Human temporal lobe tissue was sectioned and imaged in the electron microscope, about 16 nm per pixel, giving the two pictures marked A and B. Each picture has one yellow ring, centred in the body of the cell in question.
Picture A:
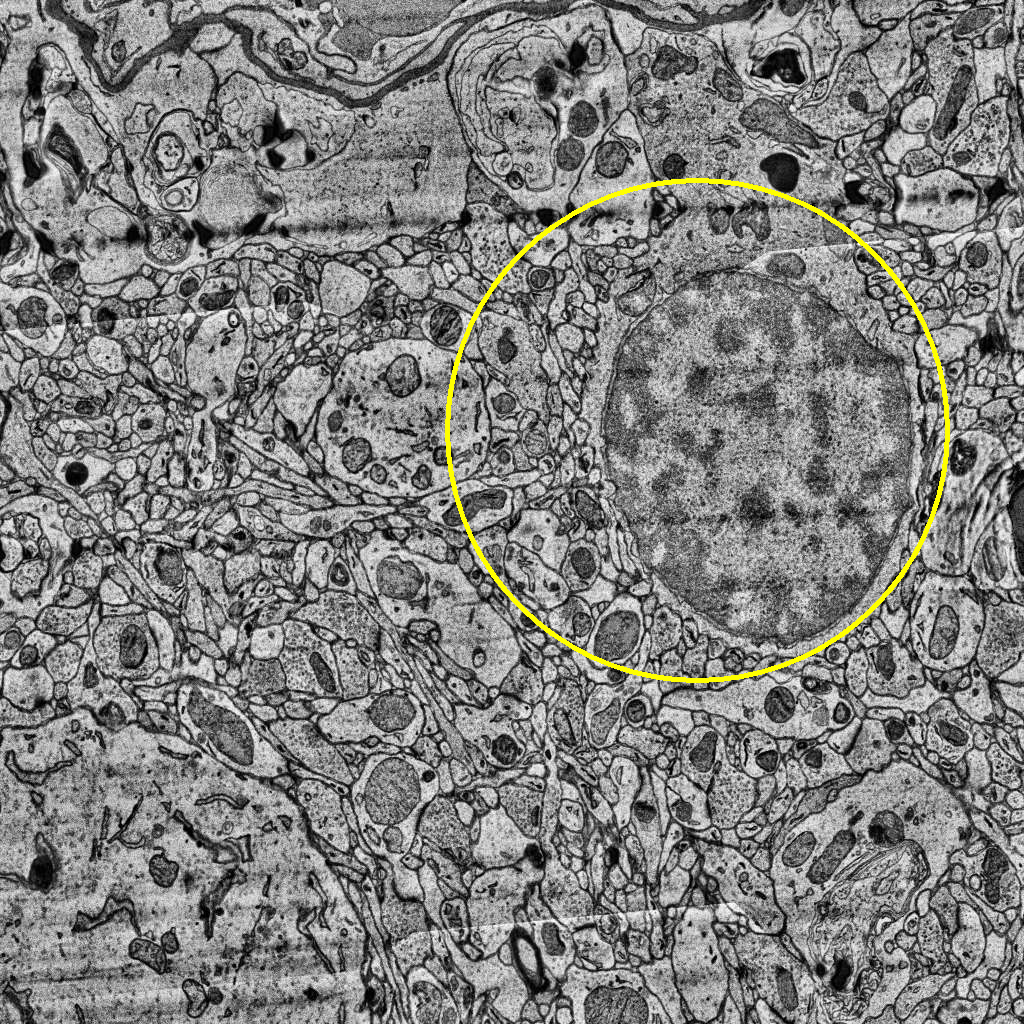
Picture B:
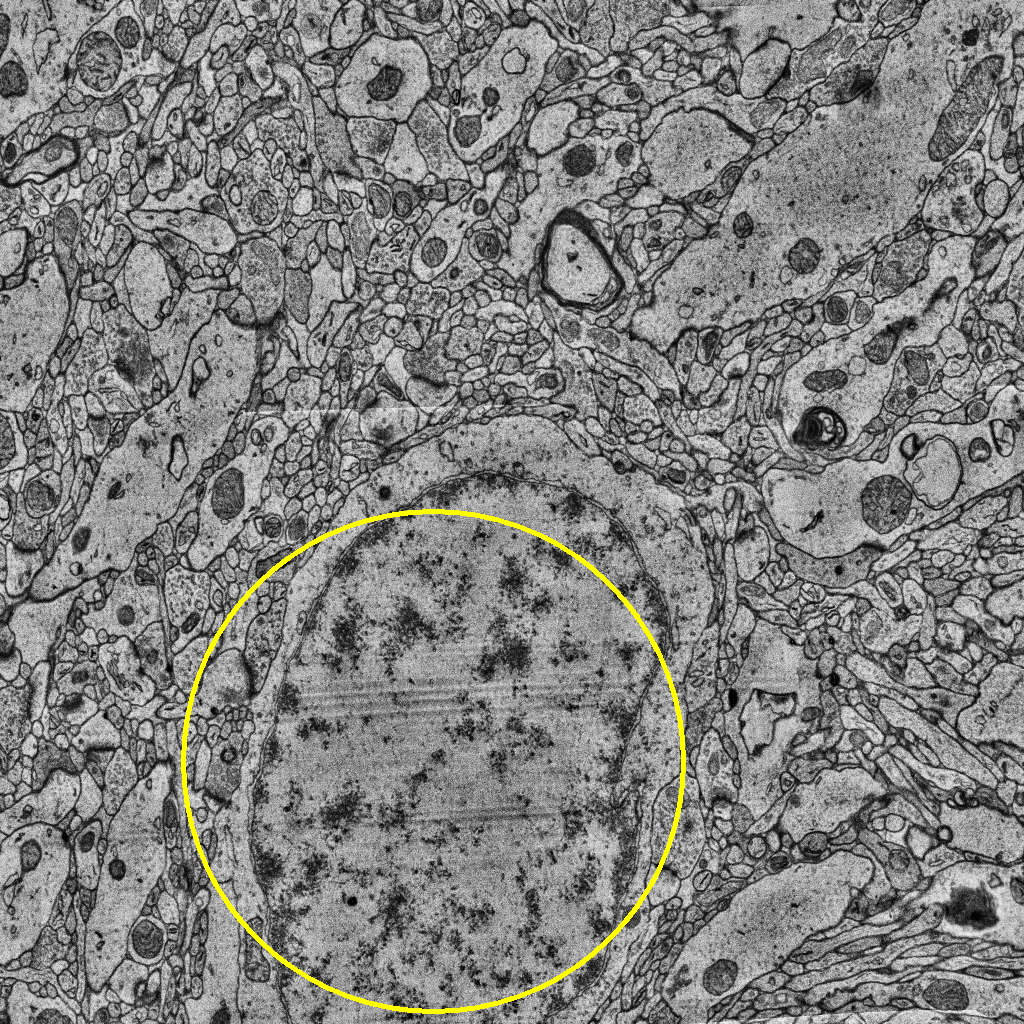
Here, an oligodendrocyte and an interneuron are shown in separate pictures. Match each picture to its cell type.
In picture A the cell is an oligodendrocyte; in picture B, an interneuron.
